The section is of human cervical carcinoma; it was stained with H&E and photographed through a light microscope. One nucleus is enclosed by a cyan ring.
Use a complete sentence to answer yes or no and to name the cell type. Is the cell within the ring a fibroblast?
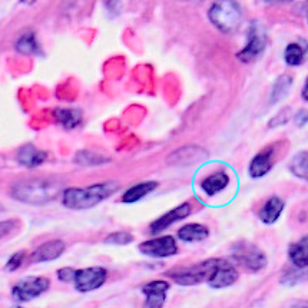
No, far from being a fibroblast, the cell within the ring is a lymphocyte.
